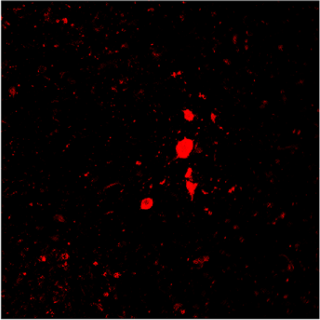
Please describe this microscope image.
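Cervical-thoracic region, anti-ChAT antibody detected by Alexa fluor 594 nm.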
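A fluorescence view of spinal cord tissue with a small cluster of motoneurons labelled bright red on a dark background. Four or five cell bodies lie close together at the centre; they are rounded to angular, solidly filled with red, and a few show short stubs of processes. Around them the field is dark and speckled with many fine red dots and a few faint, larger blobs, without any clear layering or structure.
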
